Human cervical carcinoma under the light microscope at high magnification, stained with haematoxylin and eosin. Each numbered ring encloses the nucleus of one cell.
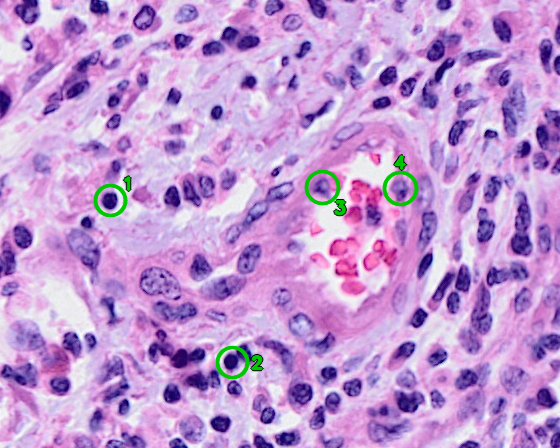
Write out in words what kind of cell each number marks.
Cell 1 is a lymphocyte, cell 2 is a lymphocyte, cell 3 is an endothelial cell and cell 4 is an endothelial cell.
